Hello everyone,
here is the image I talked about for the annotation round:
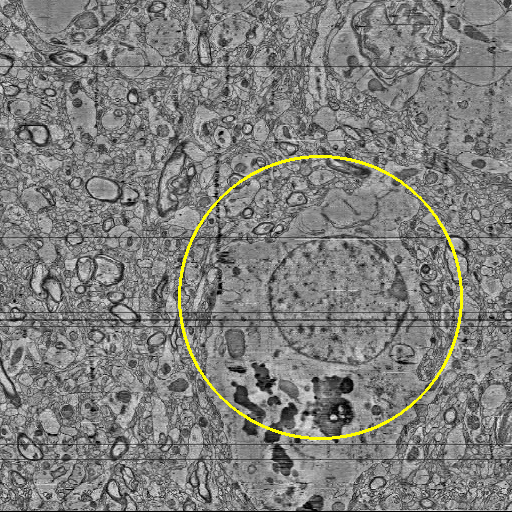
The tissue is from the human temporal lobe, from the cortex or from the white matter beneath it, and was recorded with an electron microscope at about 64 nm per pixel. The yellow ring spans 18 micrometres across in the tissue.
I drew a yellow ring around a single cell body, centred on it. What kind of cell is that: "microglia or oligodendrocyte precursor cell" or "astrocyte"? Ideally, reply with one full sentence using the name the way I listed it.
The cell your yellow ring is centred on is an astrocyte, going by your list.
